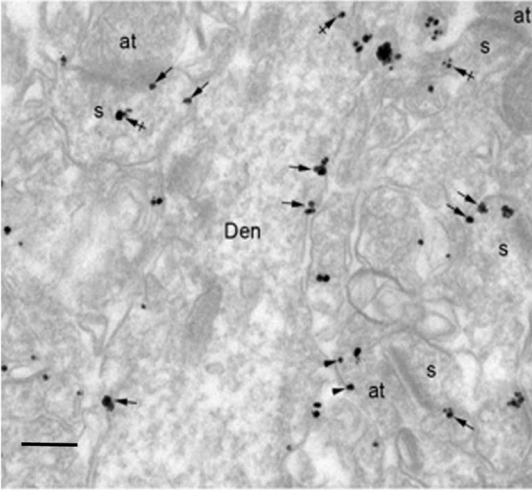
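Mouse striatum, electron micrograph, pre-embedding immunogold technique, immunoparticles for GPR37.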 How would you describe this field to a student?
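Neuropil with a large pale dendritic shaft in the centre, surrounded by spines and vesicle-filled axon terminals. Black gold particles line the outer membrane of the shaft, with few inside it. Terminals form synapses with spines marked by dense postsynaptic thickenings, and particles also lie on terminal membranes away from these contacts.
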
